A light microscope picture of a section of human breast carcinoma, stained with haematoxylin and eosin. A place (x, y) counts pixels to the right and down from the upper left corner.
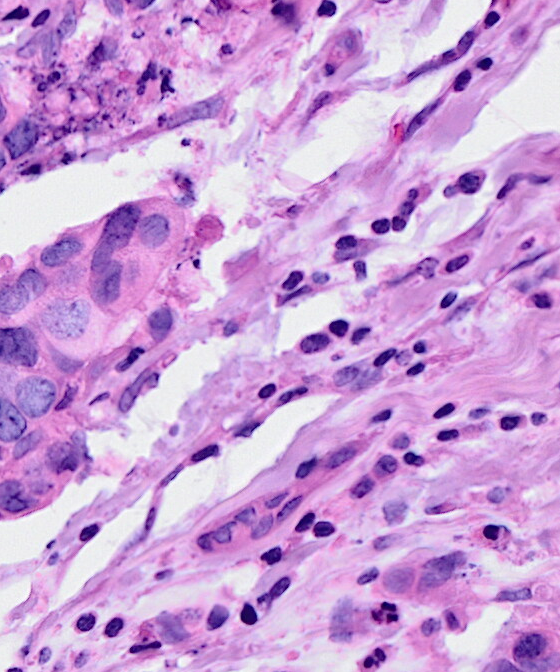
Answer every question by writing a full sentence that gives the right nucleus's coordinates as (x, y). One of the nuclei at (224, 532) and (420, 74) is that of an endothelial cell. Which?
Of the two nuclei, the one at (224, 532) belongs to an endothelial cell.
